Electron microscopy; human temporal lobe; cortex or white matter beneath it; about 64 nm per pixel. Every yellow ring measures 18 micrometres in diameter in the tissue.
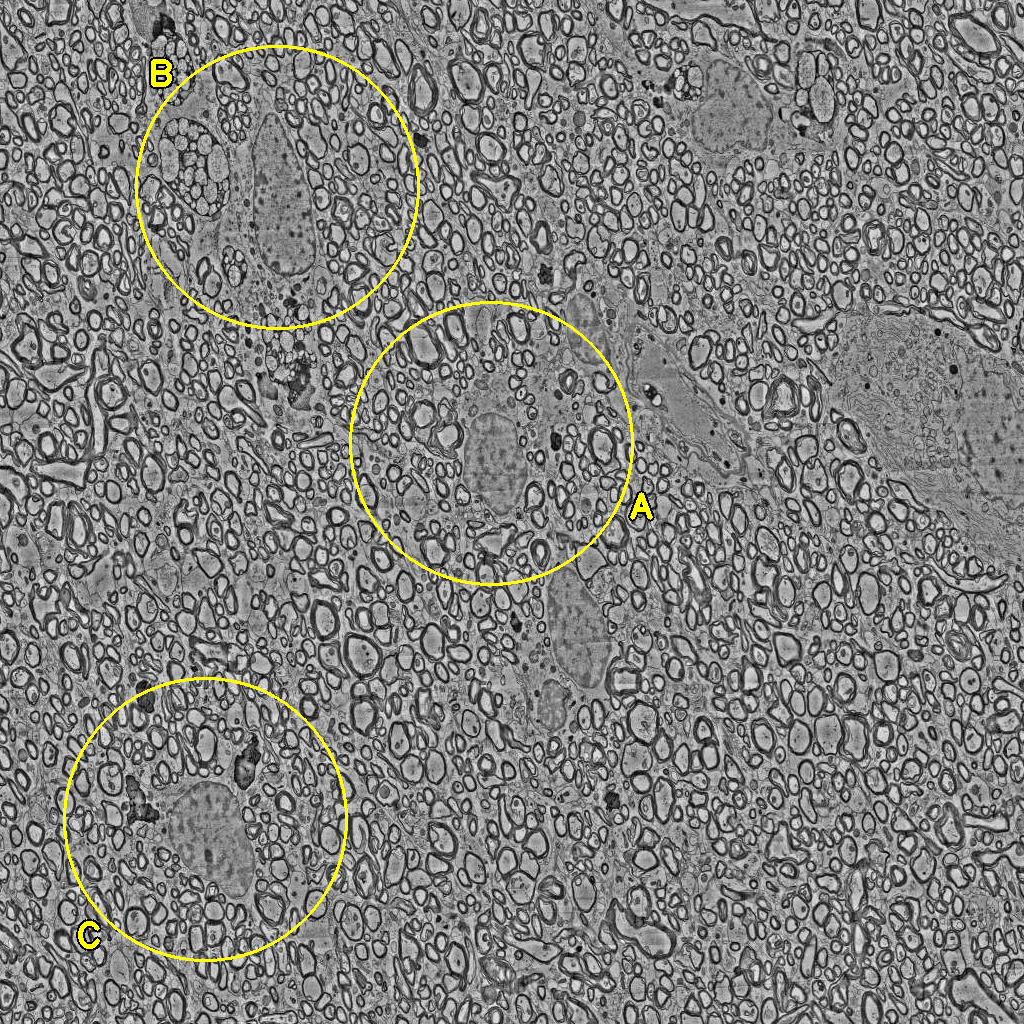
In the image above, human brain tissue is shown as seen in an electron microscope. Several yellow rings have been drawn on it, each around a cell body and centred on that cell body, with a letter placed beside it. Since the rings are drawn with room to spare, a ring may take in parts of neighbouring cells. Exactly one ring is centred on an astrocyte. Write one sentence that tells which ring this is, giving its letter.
The ring marked B is centred on it.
